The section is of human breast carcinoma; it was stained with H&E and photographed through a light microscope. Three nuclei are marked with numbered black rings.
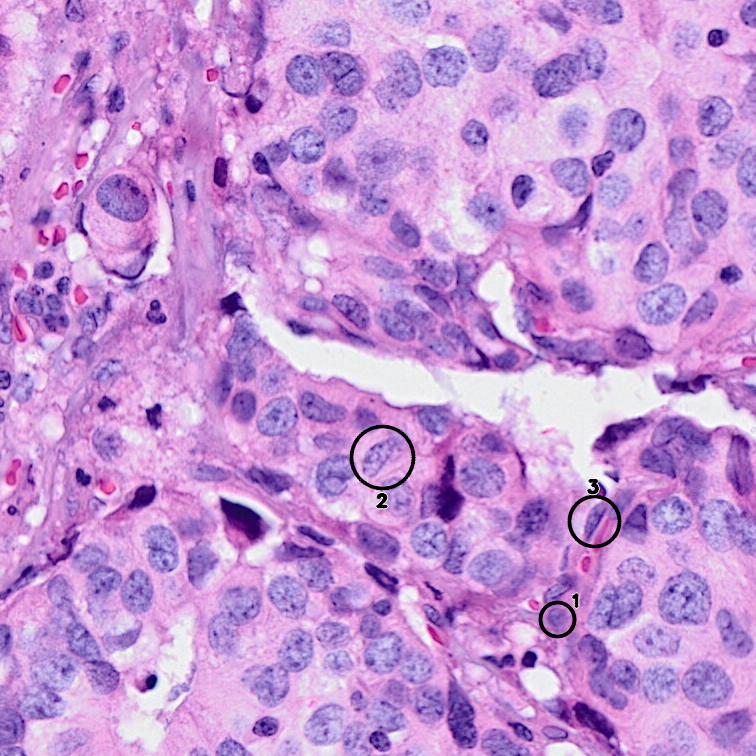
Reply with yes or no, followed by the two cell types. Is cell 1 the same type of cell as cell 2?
No, cell 1 is an endothelial cell and cell 2 is a carcinoma cell.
